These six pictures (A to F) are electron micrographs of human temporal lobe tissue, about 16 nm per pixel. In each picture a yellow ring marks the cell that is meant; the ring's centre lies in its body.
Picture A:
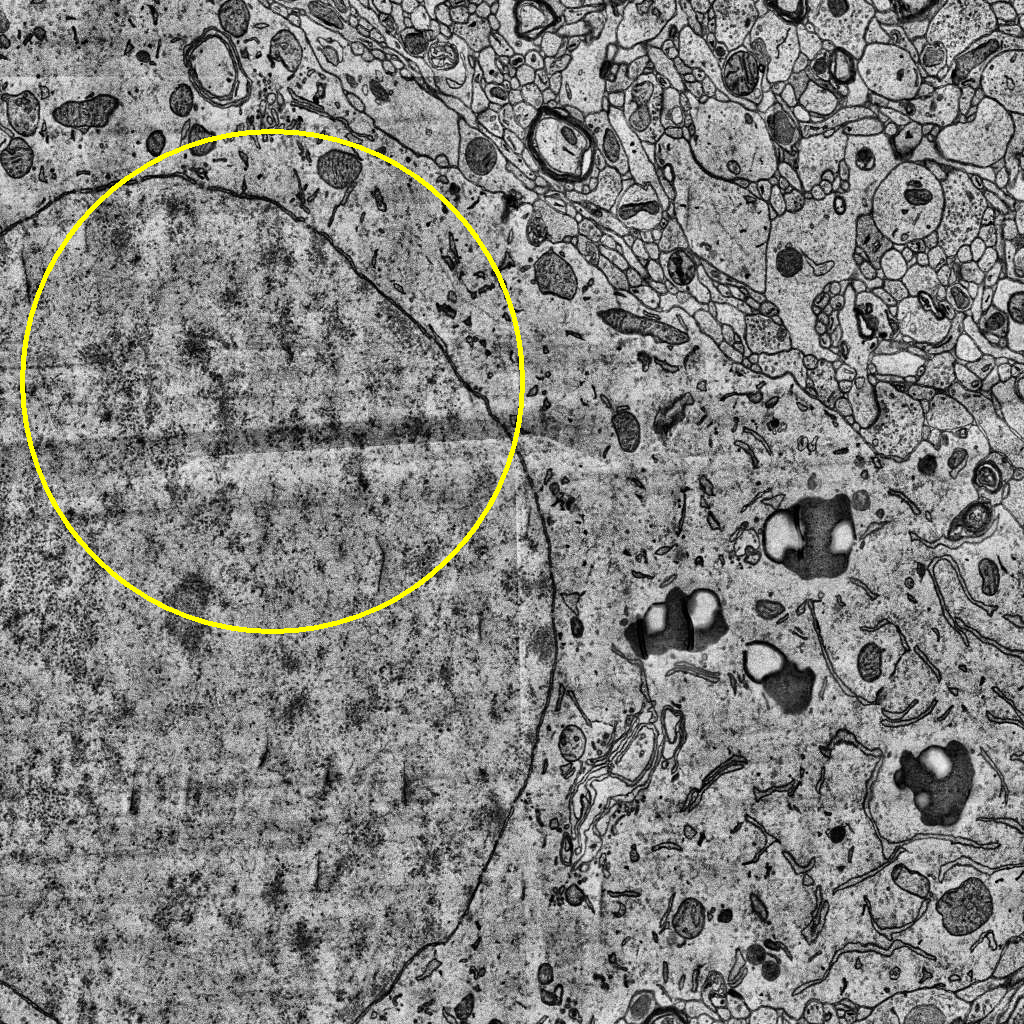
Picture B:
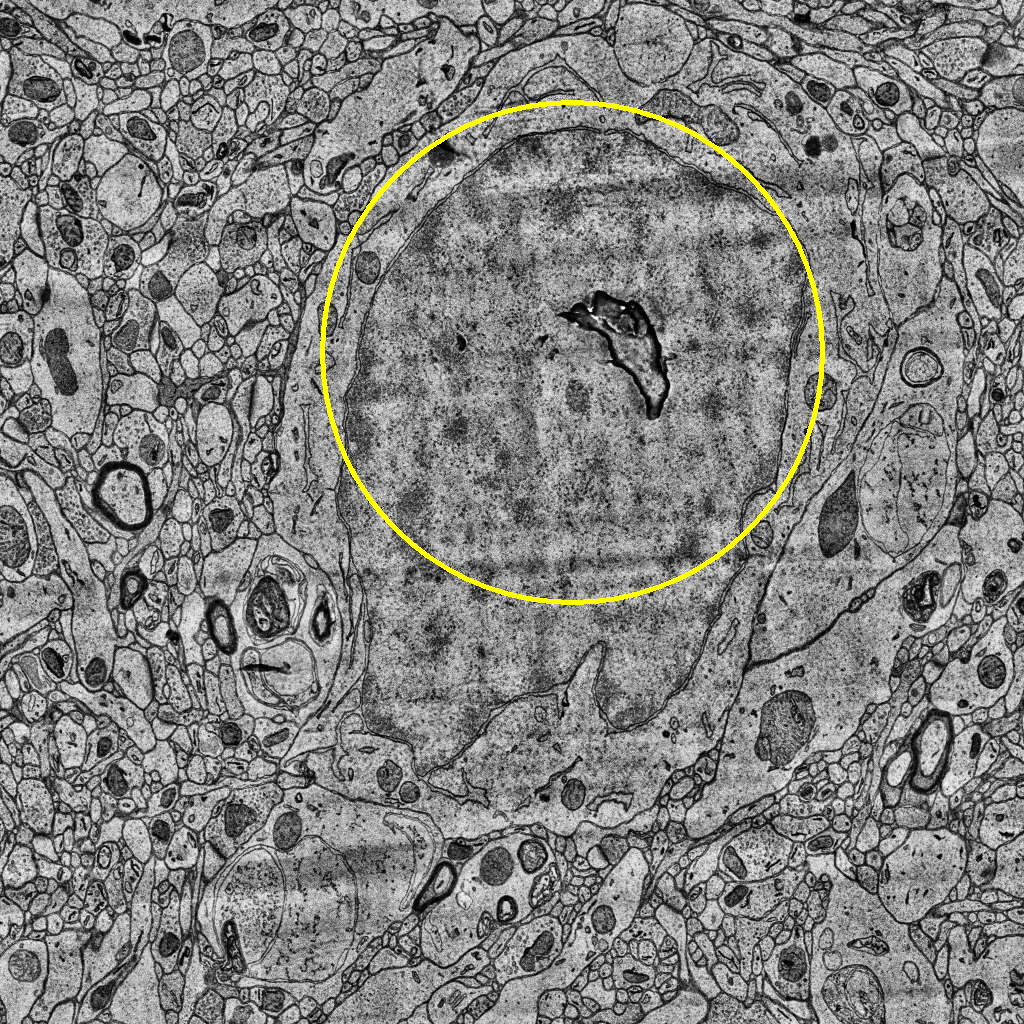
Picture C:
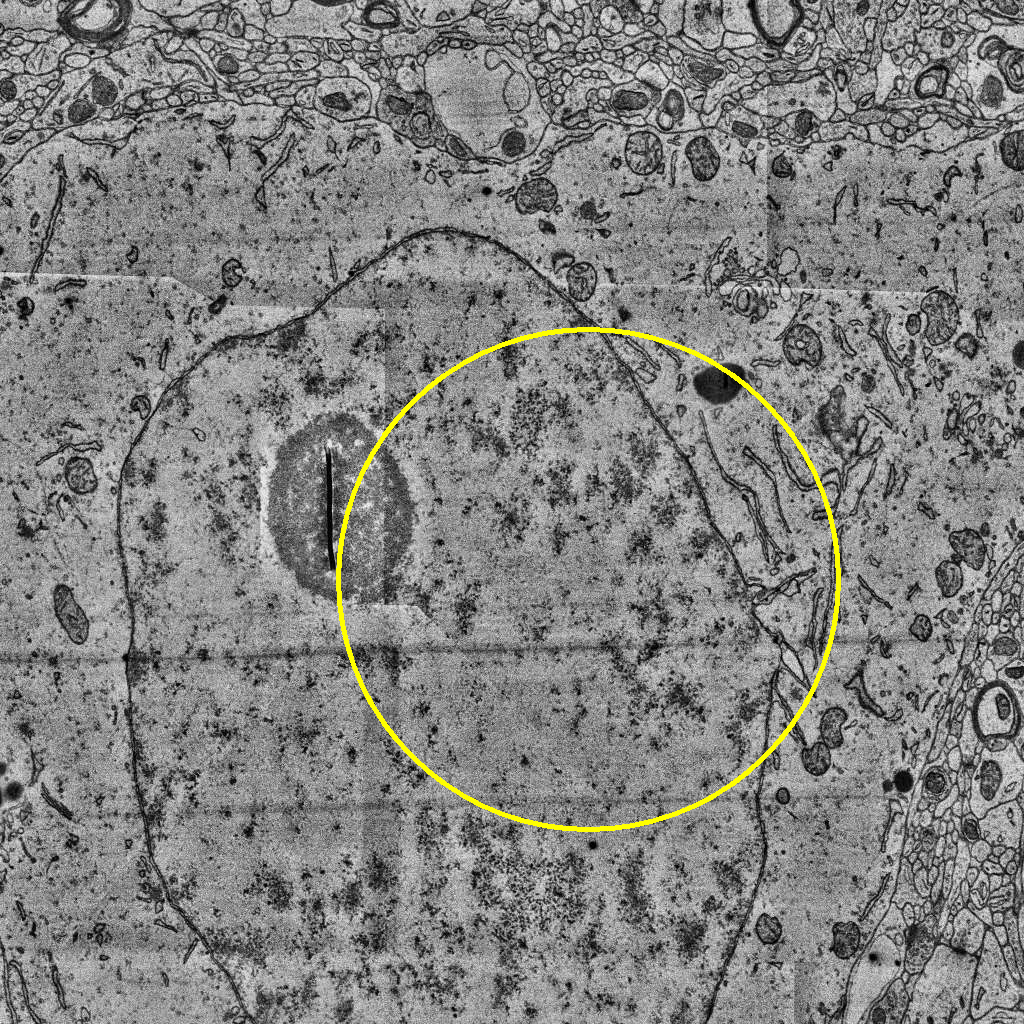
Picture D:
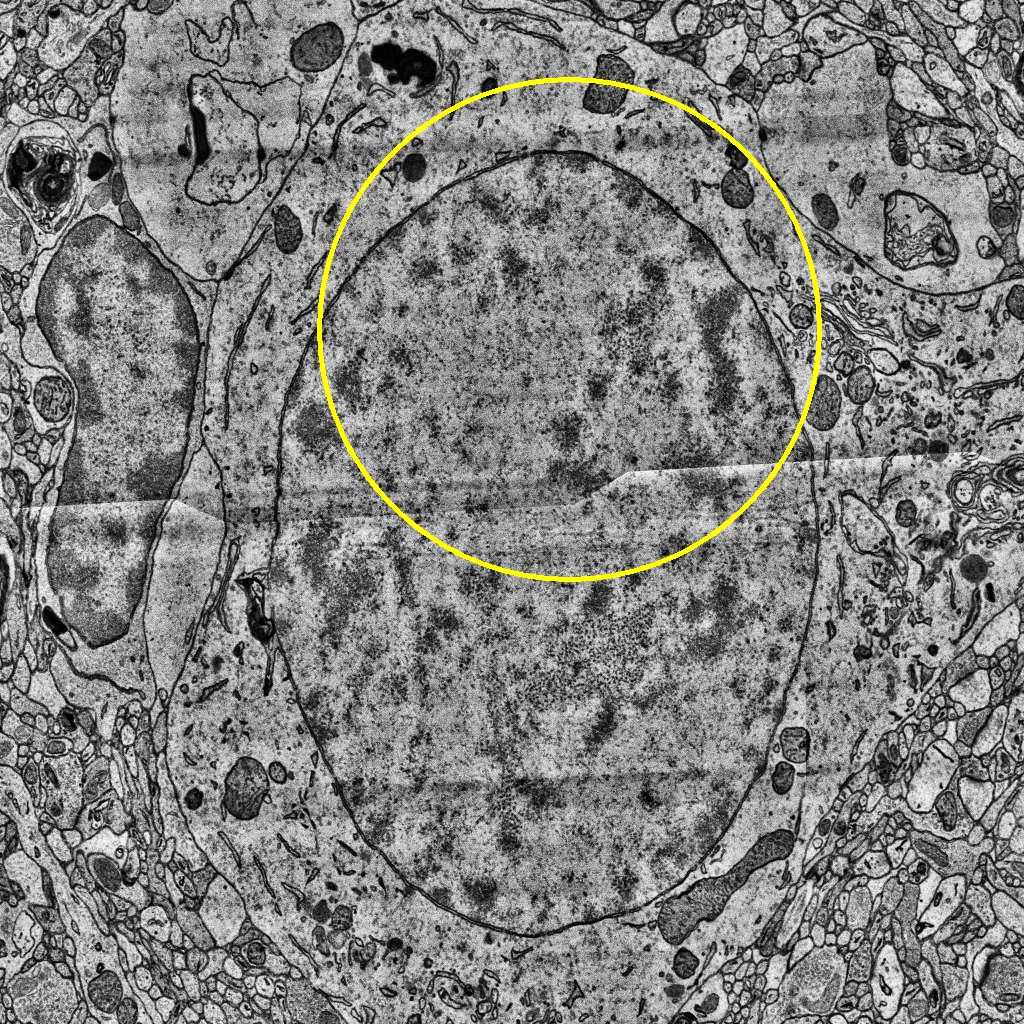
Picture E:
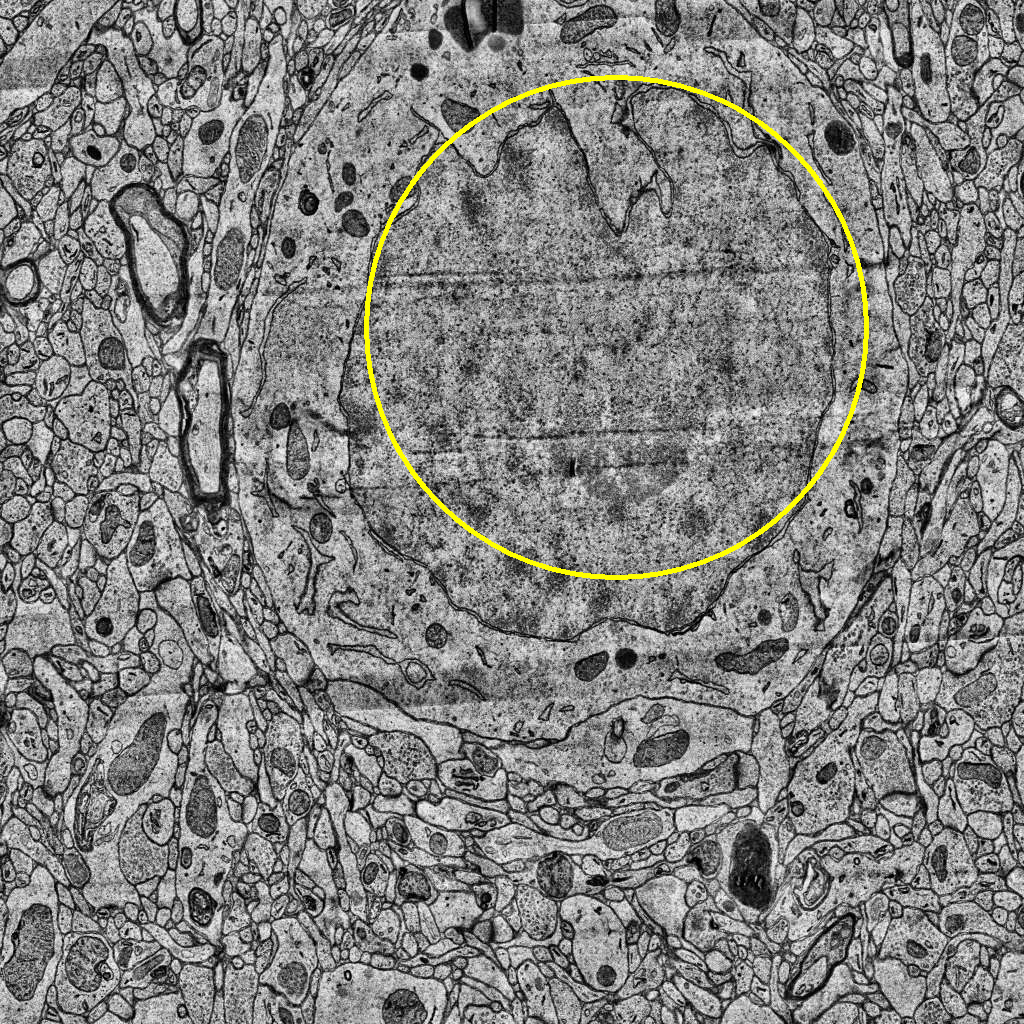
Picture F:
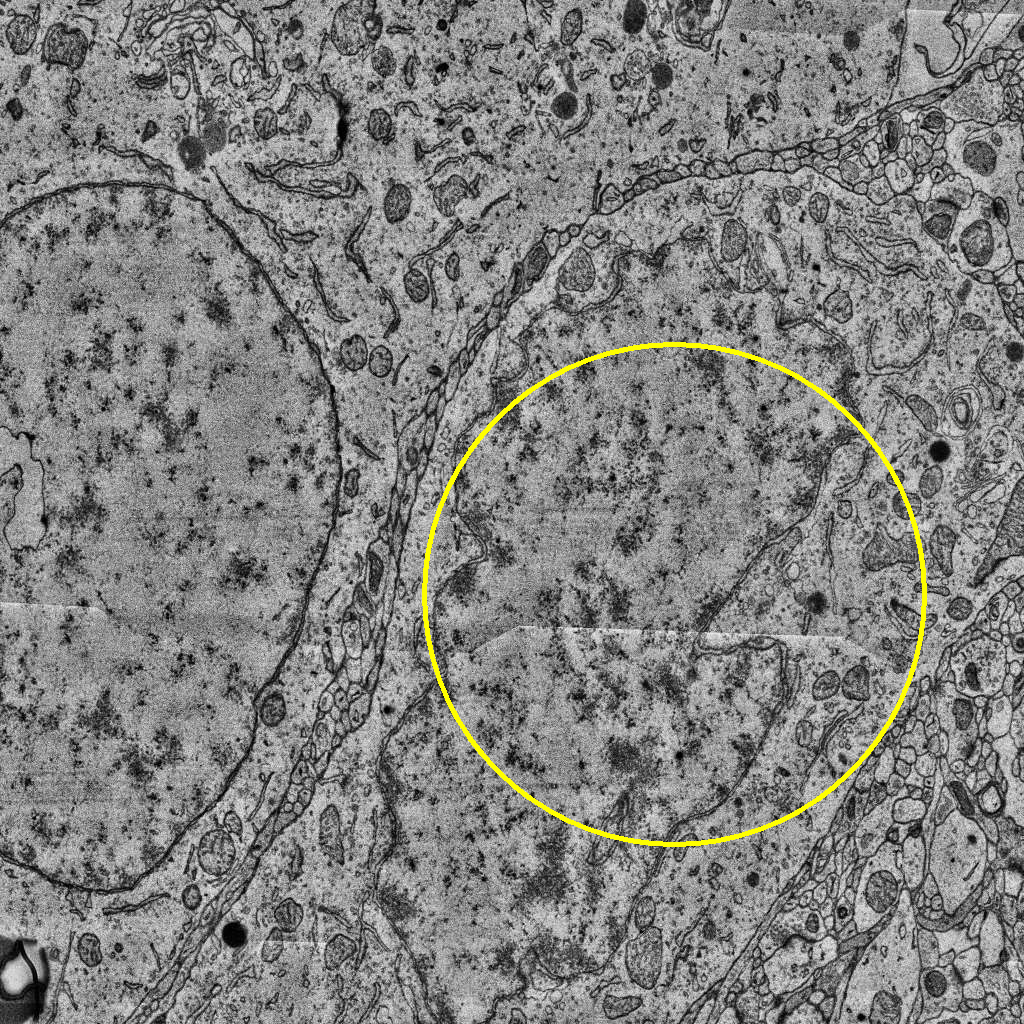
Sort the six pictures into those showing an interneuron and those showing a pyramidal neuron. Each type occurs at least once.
Pictures B, E and F show interneurons, and pictures A, C and D show pyramidal neurons.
